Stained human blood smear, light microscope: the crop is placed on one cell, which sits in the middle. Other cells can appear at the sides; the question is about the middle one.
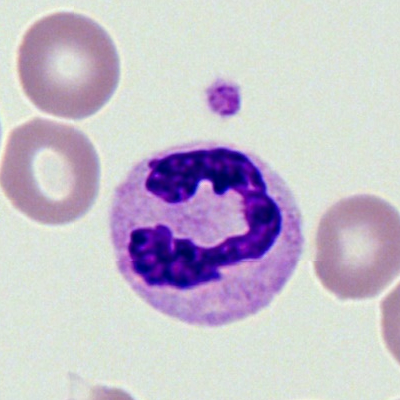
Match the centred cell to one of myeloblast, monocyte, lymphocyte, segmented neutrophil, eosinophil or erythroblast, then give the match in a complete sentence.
By classification, the middle cell of this crop is a segmented neutrophil.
